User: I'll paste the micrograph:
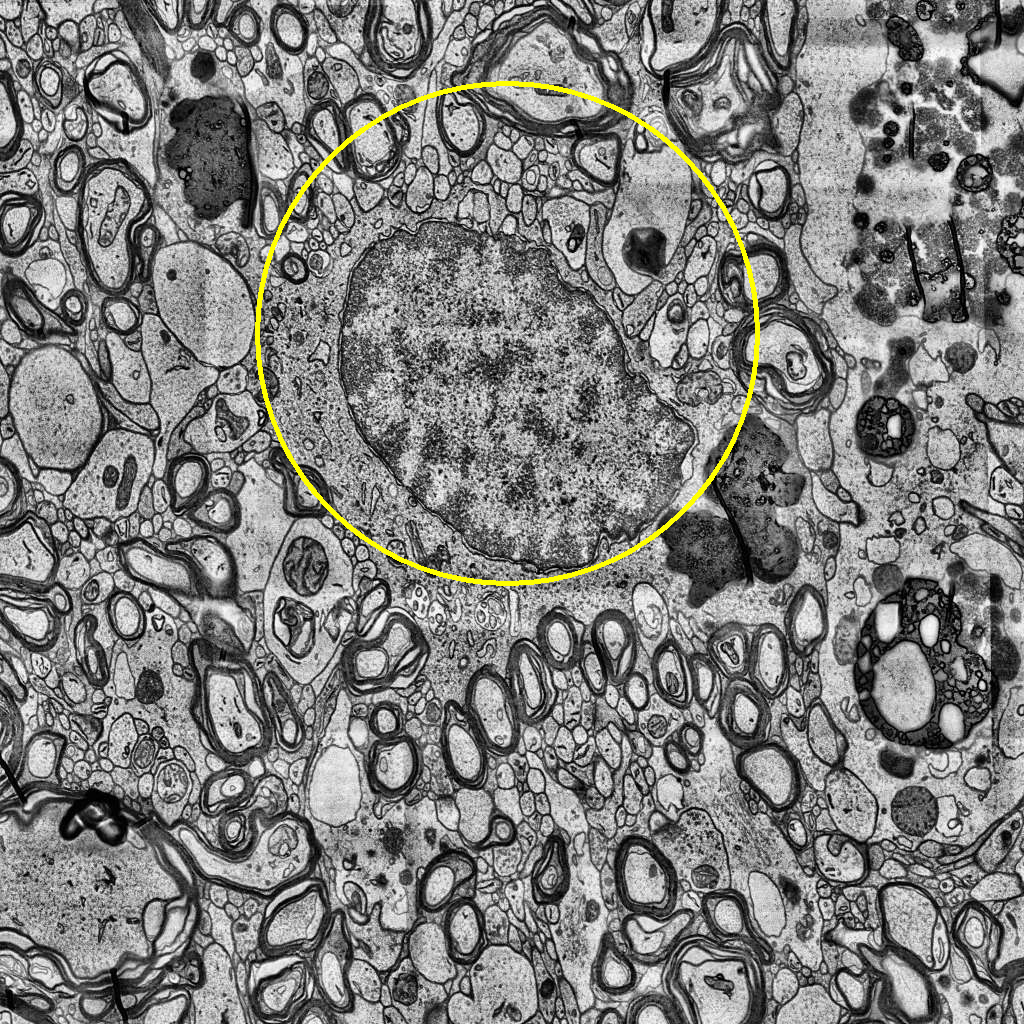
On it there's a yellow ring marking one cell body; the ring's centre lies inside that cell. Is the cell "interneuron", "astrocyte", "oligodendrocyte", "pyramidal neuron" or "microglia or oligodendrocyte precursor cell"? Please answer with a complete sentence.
The cell at the centre of the yellow ring is an oligodendrocyte.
